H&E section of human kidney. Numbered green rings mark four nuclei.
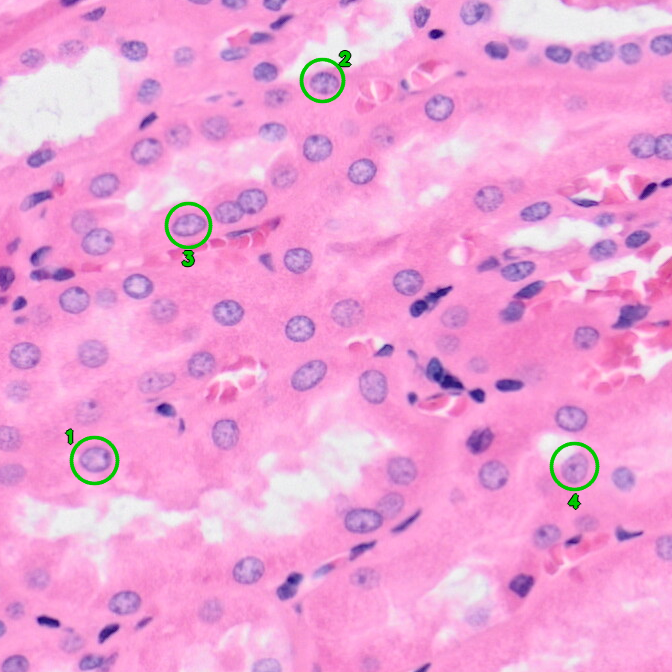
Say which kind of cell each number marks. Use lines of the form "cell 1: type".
cell 1: proximal tubule cell
cell 2: loop of Henle or distal tubule cell
cell 3: proximal tubule cell
cell 4: proximal tubule cell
